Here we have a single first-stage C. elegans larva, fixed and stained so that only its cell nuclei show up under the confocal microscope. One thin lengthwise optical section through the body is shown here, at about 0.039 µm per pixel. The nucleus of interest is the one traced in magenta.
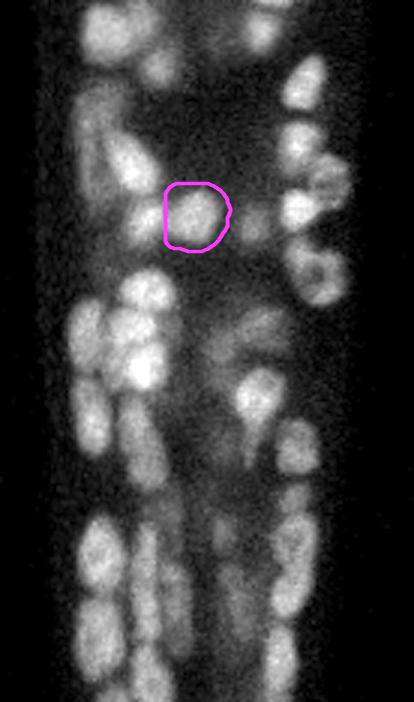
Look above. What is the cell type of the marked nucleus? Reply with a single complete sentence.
This is the nucleus of a neuron.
